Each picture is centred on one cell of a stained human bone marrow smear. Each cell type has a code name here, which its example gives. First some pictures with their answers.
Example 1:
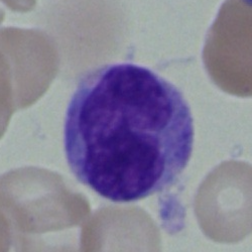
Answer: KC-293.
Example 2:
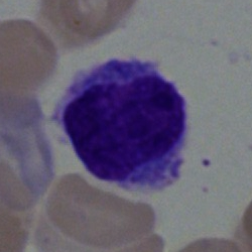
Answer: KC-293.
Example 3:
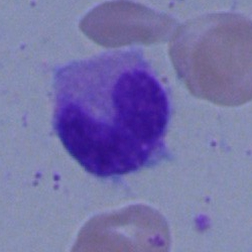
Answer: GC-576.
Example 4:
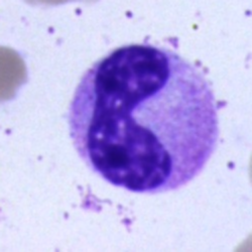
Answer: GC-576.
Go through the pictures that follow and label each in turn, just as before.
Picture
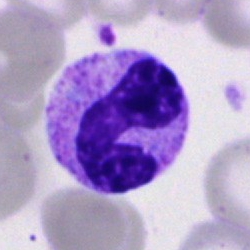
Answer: GC-576.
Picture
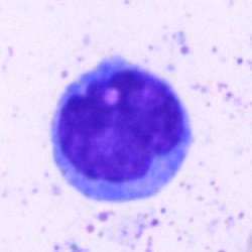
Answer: KC-293.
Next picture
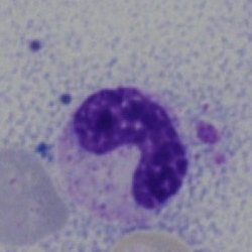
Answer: GC-576.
